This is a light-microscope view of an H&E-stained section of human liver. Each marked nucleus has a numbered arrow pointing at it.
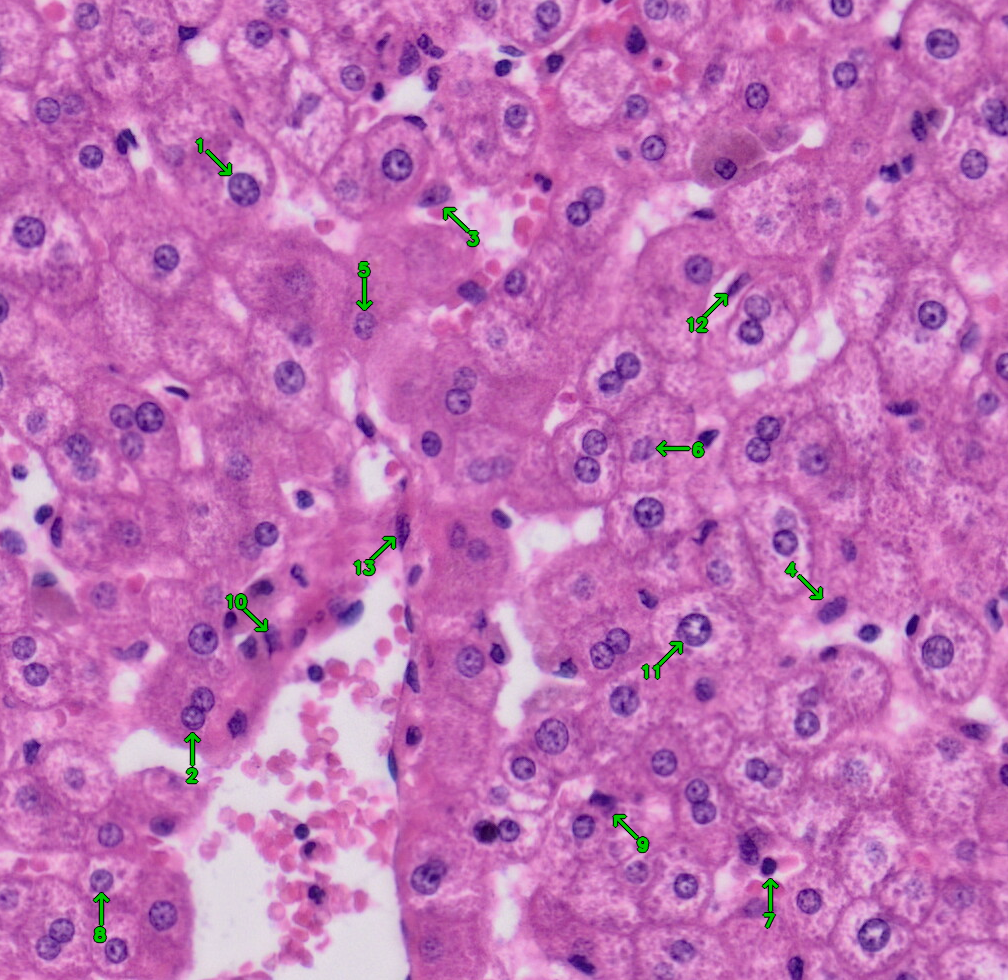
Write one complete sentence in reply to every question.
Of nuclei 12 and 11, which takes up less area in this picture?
With nucleus 11 about 3 times its size, nucleus 12 is the smaller of the two.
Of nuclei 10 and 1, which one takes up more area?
Nucleus 1 is the larger one, covering about 2.5 times the area of nucleus 10.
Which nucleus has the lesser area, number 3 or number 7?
With nucleus 3 about 2 times its size, nucleus 7 is the smaller of the two.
